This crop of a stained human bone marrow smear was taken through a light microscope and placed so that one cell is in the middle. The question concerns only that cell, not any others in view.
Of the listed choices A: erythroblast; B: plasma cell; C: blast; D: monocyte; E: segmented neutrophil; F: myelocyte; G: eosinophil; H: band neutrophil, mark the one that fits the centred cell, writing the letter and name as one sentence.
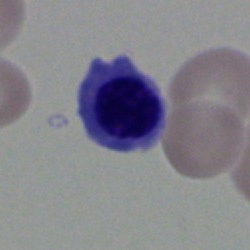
The correct option, A, names the middle cell as an erythroblast.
